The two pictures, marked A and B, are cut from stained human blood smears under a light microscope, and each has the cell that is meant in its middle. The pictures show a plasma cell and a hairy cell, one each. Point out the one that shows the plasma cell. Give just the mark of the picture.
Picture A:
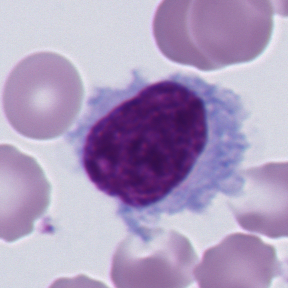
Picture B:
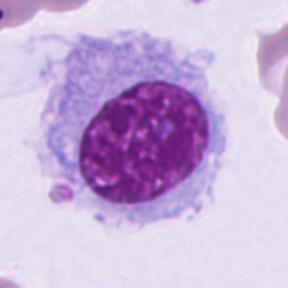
B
